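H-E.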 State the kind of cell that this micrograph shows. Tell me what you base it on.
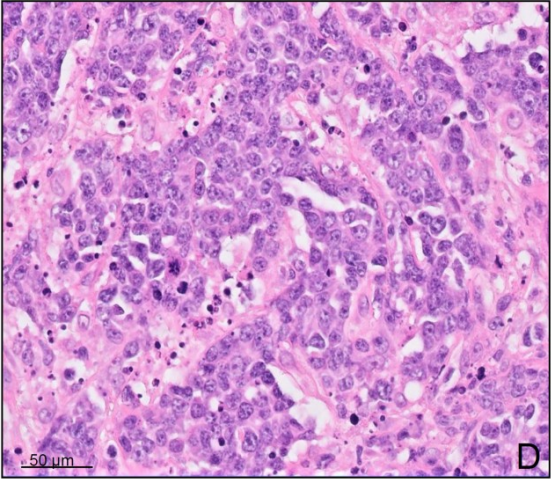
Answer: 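Large cells with inmunoblastic morphology. Sheets of large cells with big vesicular nuclei. Many nuclei have prominent central nucleoli. Cells have a moderate amount of cytoplasm.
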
